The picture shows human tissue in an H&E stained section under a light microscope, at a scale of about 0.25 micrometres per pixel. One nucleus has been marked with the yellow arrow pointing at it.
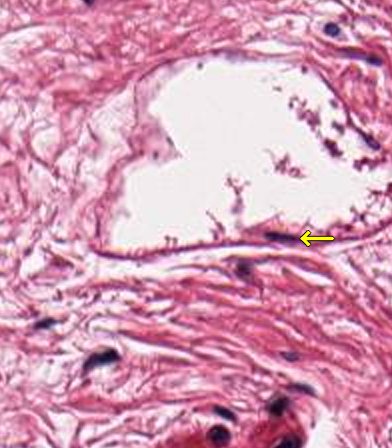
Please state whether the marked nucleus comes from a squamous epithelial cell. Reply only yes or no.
no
